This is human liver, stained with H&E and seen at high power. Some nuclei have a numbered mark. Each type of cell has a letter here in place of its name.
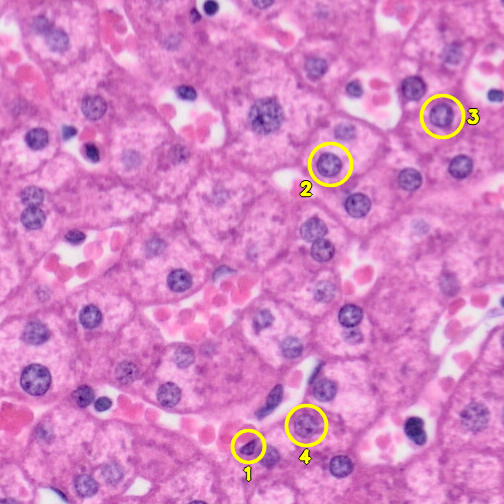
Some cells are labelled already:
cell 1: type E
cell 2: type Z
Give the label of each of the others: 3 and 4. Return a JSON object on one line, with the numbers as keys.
{"3": "type Z", "4": "type Z"}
